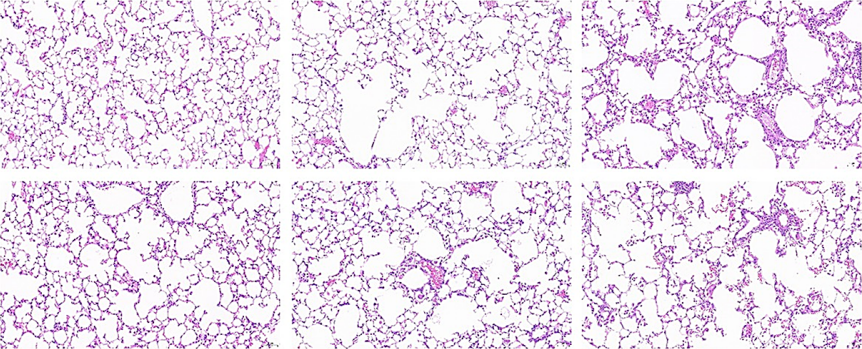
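Six fields of lung parenchyma show a meshwork of thin pink alveolar walls with scattered purple nuclei surrounding clear airspaces. In some fields the airspaces are small and evenly sized, whereas in others many are large and irregular, where the thin walls between neighbouring alveoli appear to be missing. This widening of the spaces between the walls is airspace enlargement of the lung parenchyma.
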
